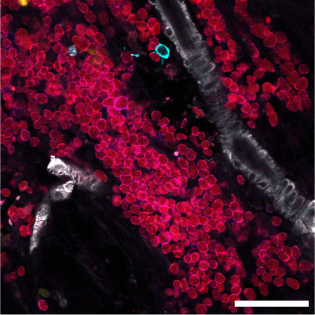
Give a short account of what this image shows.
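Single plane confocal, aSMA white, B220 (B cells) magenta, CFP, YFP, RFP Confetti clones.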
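The cells are small, round to oval, and densely packed in a broad band. White vessel walls run diagonally along the upper right and at the left edge. Only an occasional cyan cell lies apart from the red mass.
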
